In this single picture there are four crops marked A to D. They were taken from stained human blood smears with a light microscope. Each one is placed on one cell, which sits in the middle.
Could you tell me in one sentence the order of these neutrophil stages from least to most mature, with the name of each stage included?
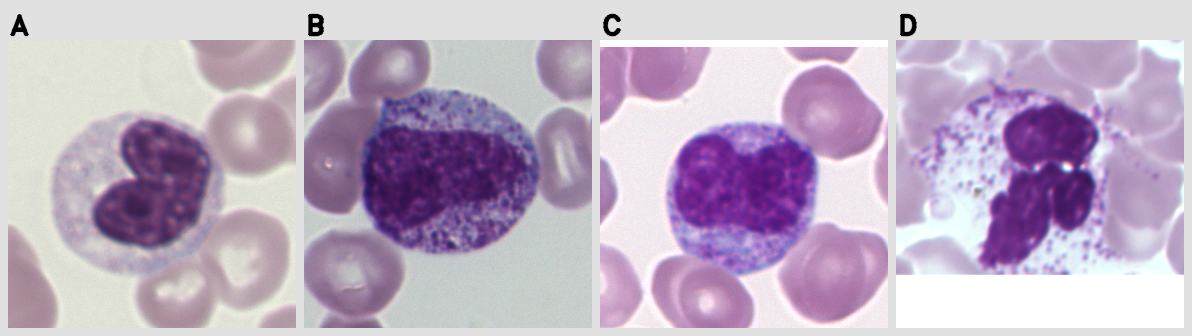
What results from ordering by maturity, least to most, is crop B (a myelocyte), crop C (a metamyelocyte), crop A (a band neutrophil) and crop D (a segmented neutrophil).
